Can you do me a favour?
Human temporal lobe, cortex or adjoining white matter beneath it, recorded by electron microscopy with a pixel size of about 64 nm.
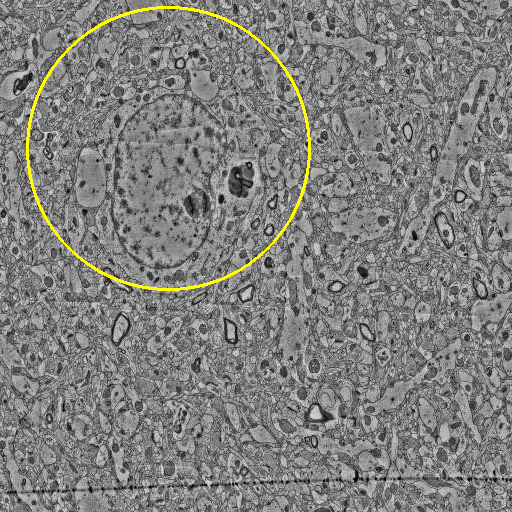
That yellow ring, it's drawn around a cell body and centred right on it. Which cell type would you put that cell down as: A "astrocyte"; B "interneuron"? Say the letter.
B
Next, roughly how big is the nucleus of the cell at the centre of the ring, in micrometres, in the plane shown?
Roughly 11 micrometres long and 7 micrometres wide; in this plane the nucleus is clearly longer than it is wide.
